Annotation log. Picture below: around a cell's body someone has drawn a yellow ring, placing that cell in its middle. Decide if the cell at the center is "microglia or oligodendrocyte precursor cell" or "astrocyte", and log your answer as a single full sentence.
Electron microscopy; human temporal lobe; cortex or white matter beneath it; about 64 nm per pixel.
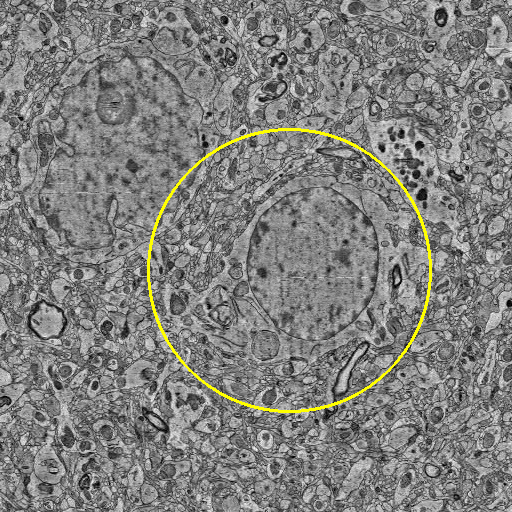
My entry records an astrocyte as the cell sitting at the center of the yellow ring.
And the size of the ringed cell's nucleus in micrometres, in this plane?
Approximately 10 x 8 micrometres in this plane.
